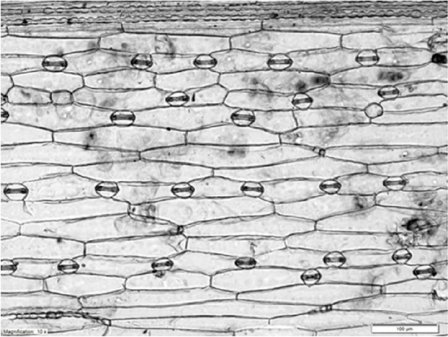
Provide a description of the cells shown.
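This is the leaf epidermis seen from the surface, showing long epidermal cells and stomata. The epidermal cells are elongated, with fairly straight, thin walls and tapered or angular ends, and are arranged end to end in parallel files along the leaf axis. Stomata appear as small paired guard cells with a central slit, oval in outline, set in rows between the files of long cells and oriented with their long axis along the leaf. Scattered small dark specks lie over the cells.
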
